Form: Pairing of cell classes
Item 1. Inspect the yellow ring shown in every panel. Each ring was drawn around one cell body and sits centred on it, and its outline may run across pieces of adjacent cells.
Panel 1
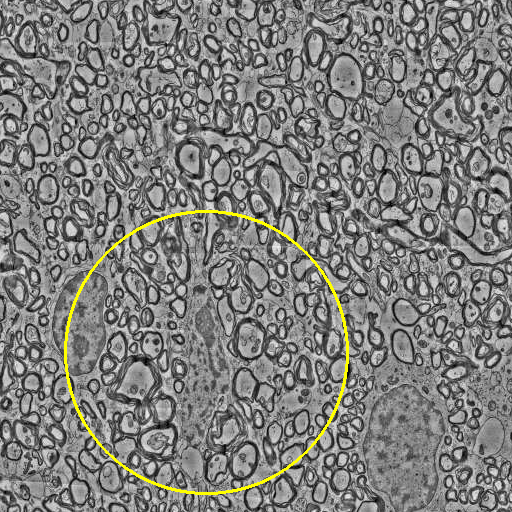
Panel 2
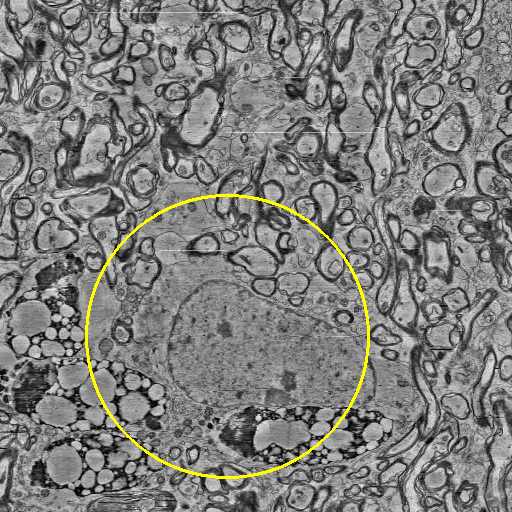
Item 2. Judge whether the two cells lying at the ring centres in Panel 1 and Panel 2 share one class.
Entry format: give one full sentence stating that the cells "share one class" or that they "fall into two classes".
The cells at the ring centres in Panel 1 and Panel 2 share one class.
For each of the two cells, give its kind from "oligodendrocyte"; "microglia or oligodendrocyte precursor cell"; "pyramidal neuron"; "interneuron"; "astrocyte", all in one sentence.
The second cell is an astrocyte, just as the first is.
